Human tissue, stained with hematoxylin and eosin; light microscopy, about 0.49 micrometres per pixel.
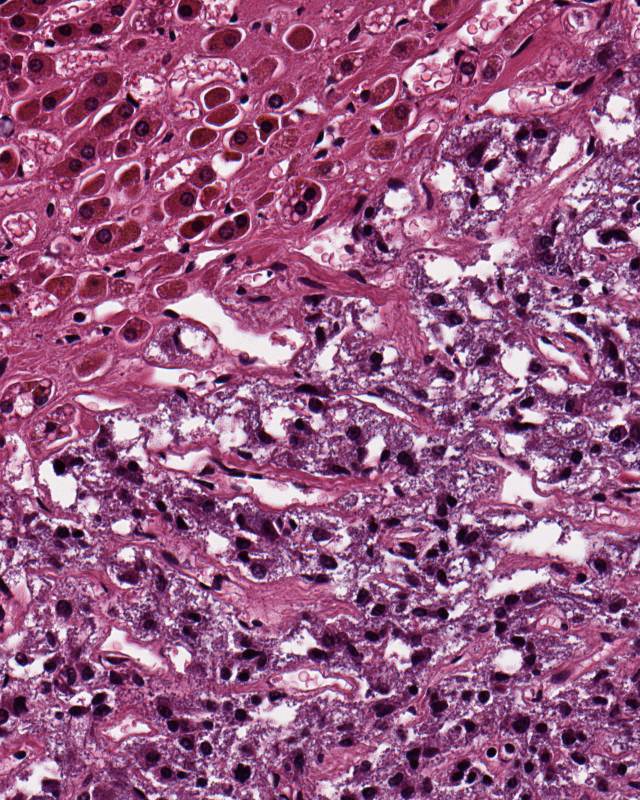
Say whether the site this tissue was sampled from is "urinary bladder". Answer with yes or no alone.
no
